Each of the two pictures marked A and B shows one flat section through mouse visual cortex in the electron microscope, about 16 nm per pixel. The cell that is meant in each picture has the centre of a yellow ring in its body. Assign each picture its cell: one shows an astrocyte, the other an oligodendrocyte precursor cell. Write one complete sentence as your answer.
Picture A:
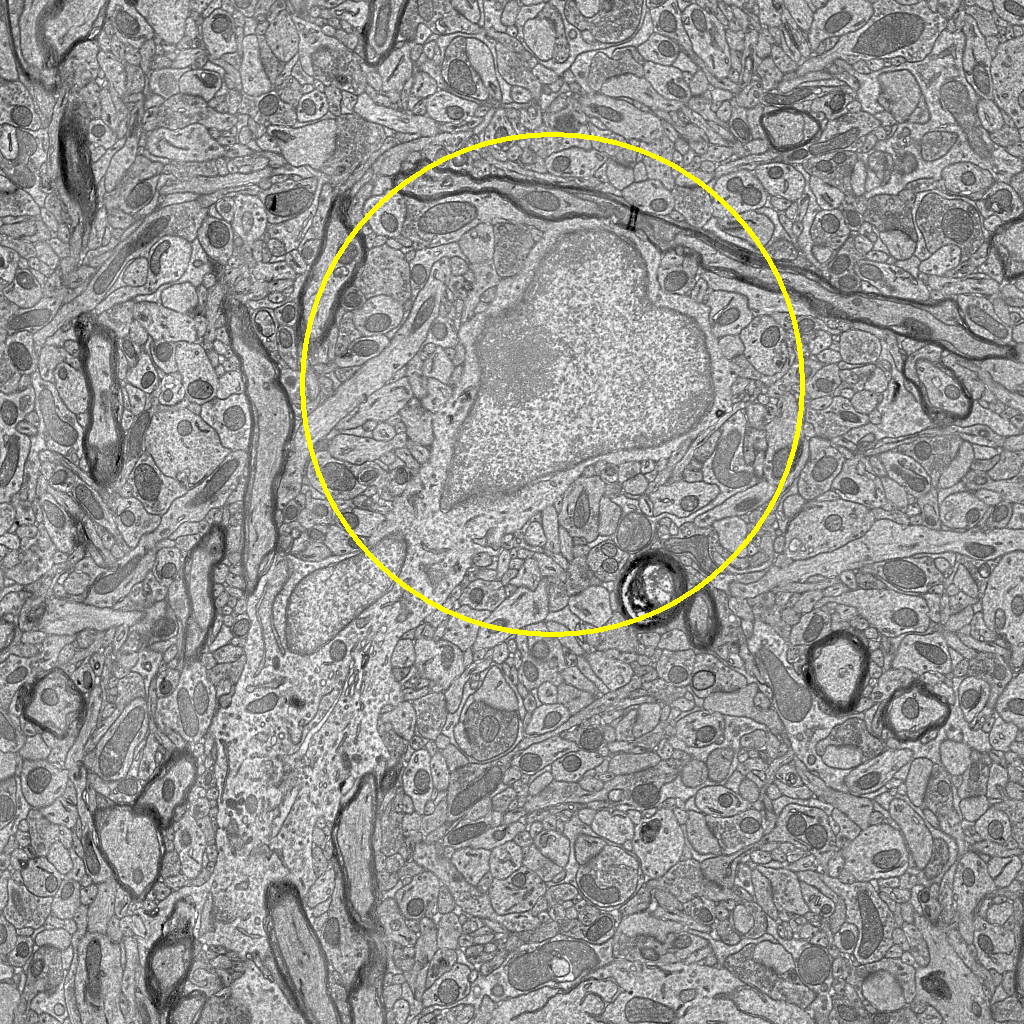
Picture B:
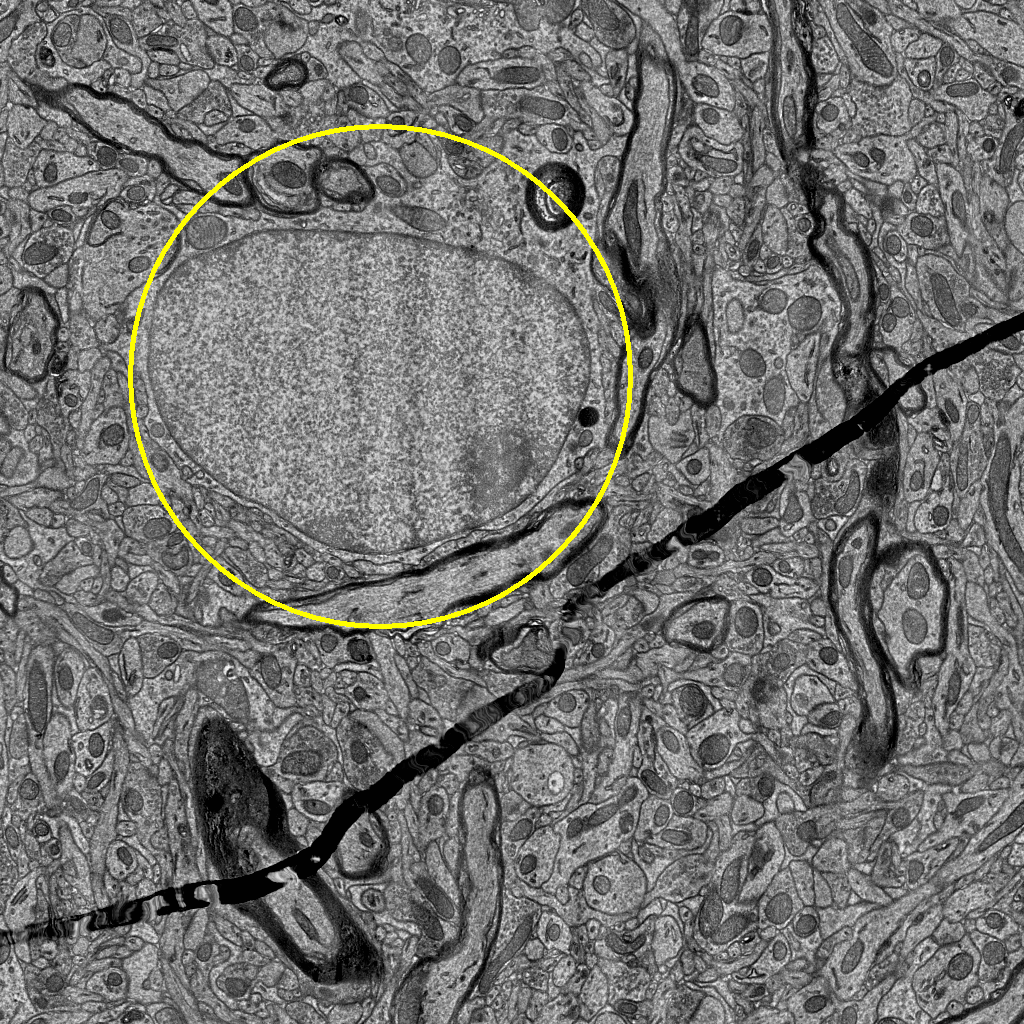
In picture A the cell is an oligodendrocyte precursor cell; in picture B, an astrocyte.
